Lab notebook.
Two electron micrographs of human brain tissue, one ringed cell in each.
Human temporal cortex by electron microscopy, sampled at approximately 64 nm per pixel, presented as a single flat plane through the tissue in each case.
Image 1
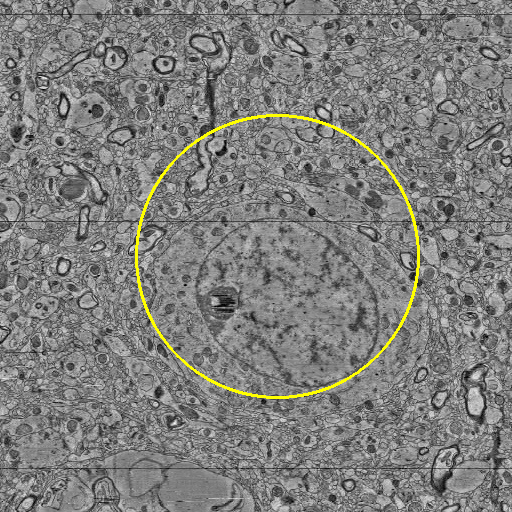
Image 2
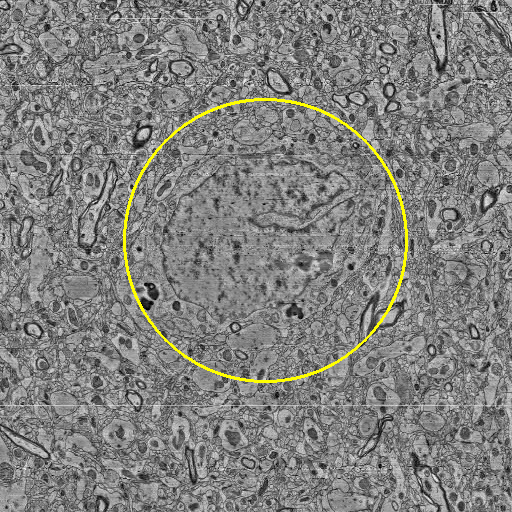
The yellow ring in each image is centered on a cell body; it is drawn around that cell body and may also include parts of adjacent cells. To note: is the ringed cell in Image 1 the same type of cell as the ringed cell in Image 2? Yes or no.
yes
